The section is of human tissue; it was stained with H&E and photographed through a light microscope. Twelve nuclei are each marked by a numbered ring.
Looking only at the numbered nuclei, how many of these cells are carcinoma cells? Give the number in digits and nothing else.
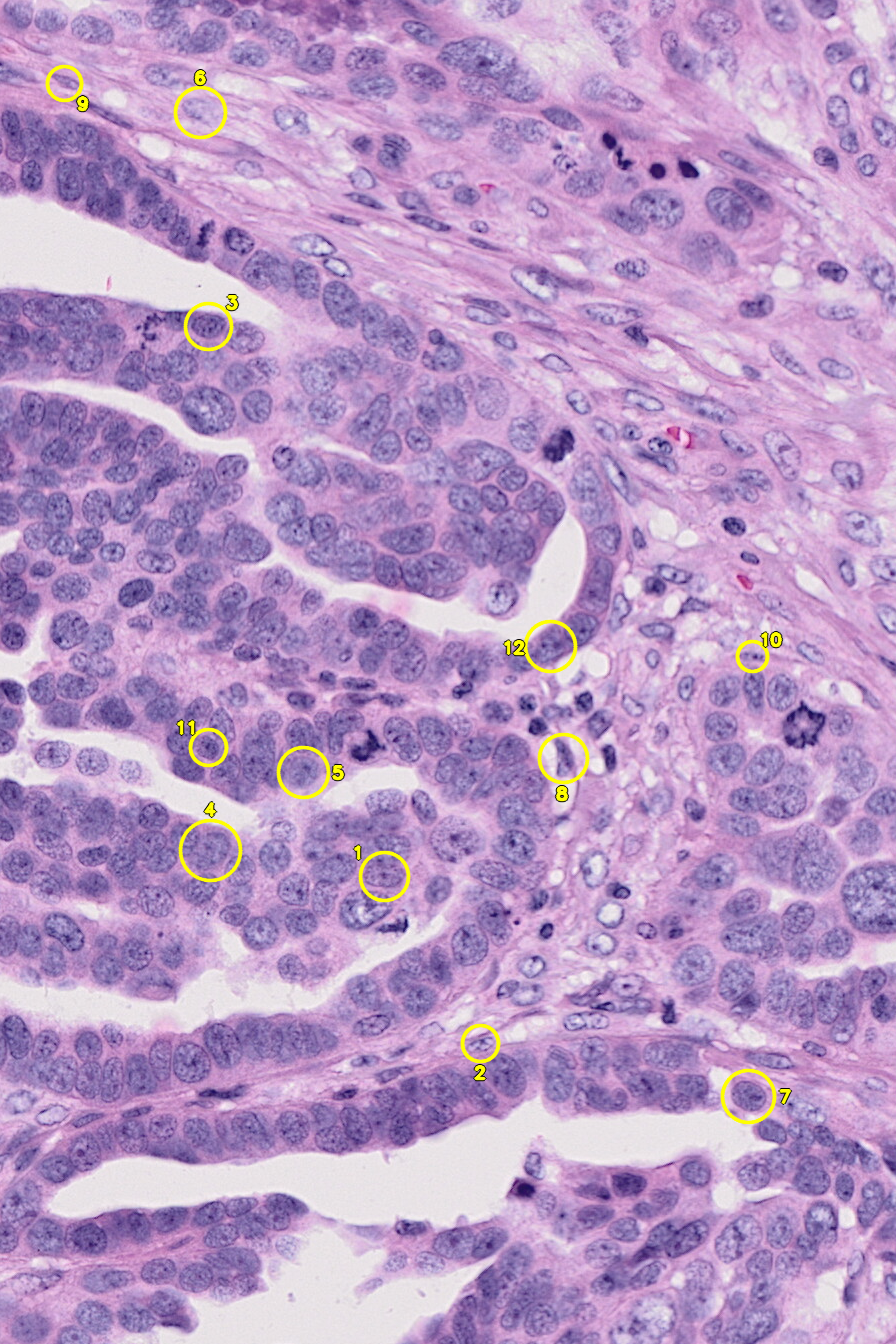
7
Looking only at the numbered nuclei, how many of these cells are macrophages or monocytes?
1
